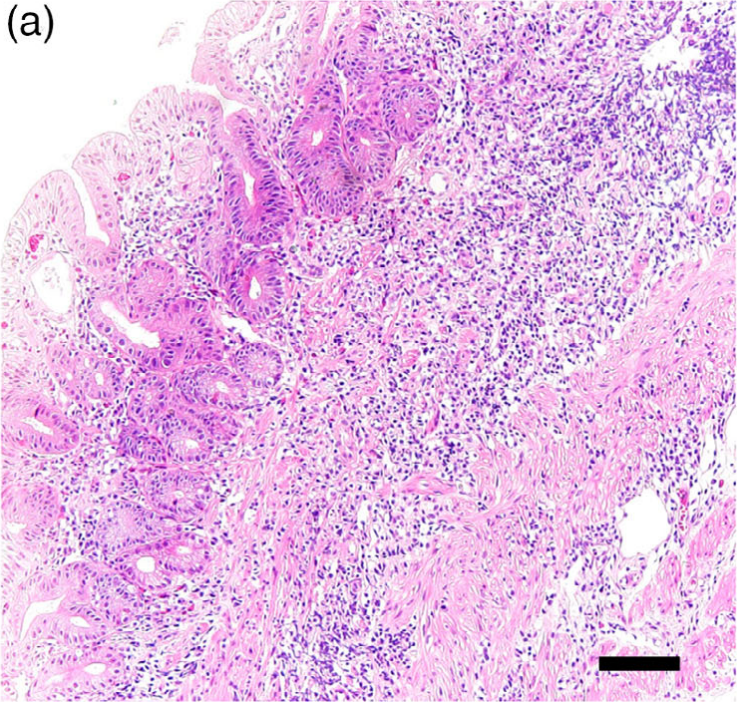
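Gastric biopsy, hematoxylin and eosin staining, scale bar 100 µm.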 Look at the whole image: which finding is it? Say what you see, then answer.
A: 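Dense sheets of small dark-purple nuclei fill the lamina propria between and beneath the glands. The infiltrate extends from under the surface epithelium into the deeper stroma. The answer: inflammatory cell infiltration.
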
